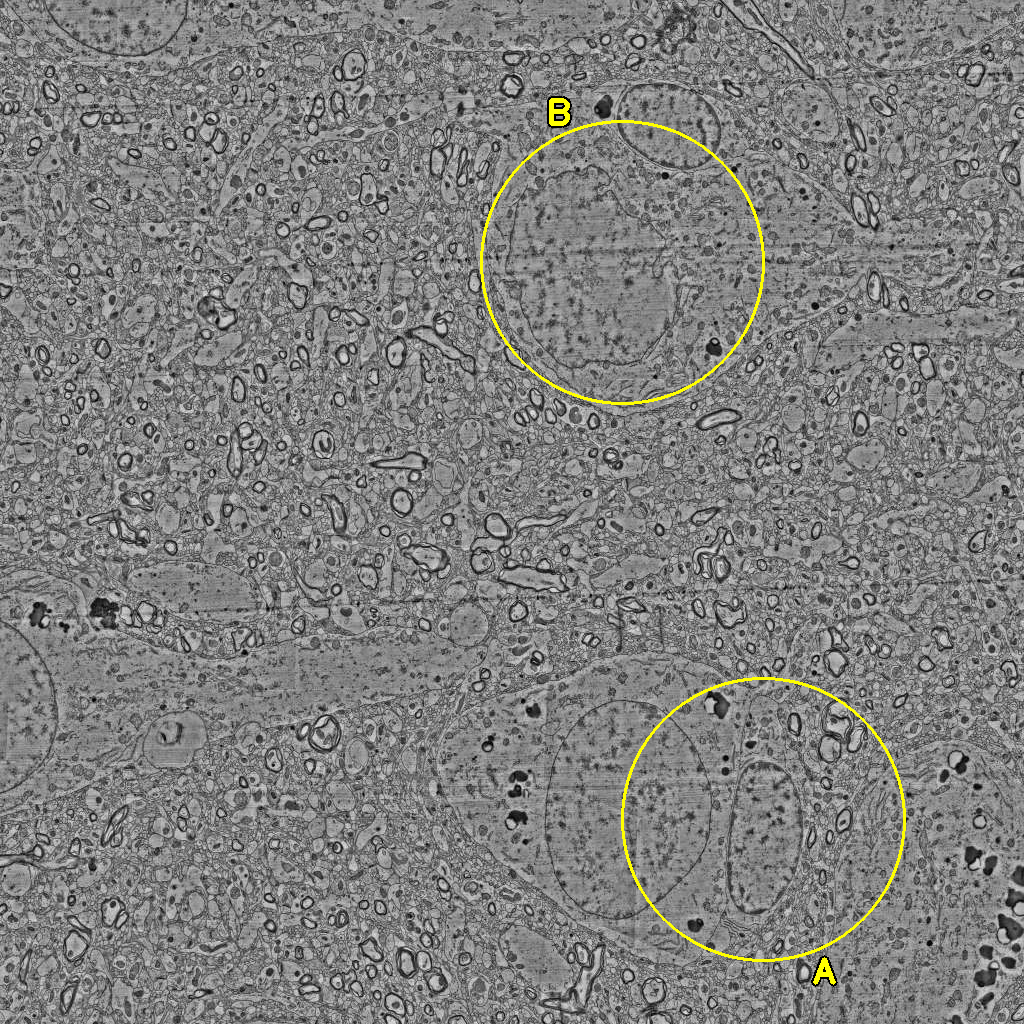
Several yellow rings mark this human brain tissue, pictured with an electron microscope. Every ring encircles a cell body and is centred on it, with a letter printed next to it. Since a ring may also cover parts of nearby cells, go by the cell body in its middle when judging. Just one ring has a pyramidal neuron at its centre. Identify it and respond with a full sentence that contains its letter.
The answer is ring B, whose centre rests on the cell asked for.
